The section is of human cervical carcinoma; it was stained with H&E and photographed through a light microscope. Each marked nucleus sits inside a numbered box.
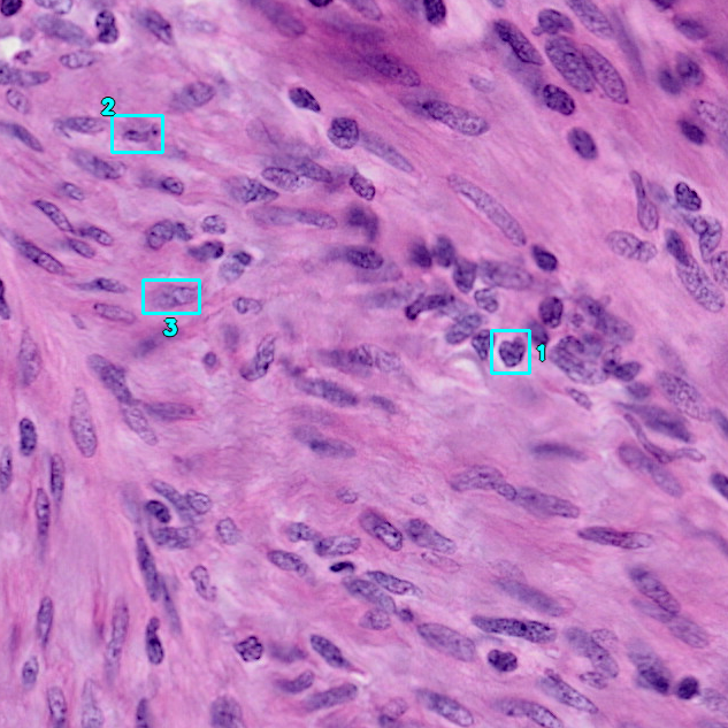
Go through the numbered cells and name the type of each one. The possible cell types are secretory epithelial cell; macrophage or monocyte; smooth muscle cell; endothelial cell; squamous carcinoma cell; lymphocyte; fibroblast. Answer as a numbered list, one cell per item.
1. lymphocyte
2. smooth muscle cell
3. smooth muscle cell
